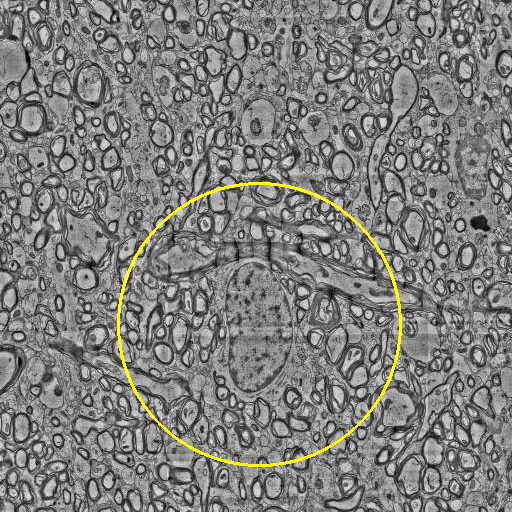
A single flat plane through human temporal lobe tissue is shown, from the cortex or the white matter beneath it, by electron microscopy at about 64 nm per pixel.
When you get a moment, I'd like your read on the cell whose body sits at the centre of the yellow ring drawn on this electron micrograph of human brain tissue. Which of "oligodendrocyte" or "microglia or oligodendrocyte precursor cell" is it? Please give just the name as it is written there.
microglia or oligodendrocyte precursor cell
